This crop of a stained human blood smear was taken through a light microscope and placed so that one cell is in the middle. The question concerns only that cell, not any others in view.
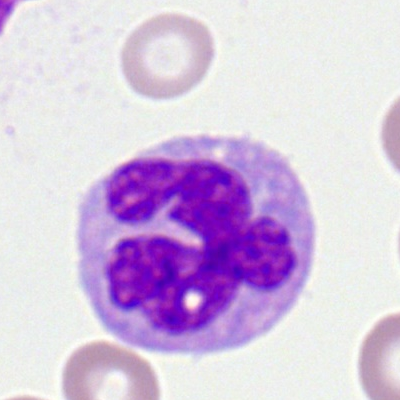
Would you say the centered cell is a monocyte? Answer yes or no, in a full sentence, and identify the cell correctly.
Yes, the identification of the central cell as a monocyte is correct.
